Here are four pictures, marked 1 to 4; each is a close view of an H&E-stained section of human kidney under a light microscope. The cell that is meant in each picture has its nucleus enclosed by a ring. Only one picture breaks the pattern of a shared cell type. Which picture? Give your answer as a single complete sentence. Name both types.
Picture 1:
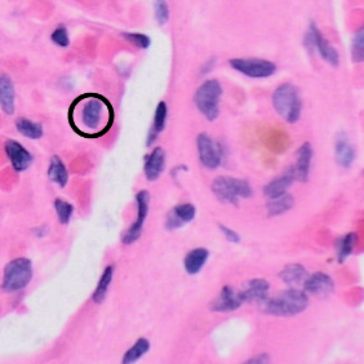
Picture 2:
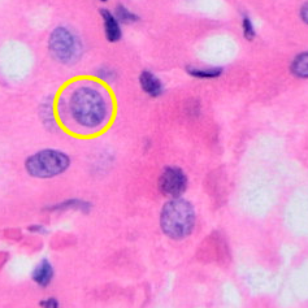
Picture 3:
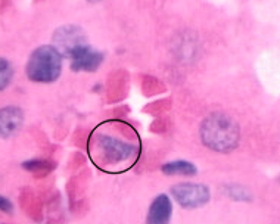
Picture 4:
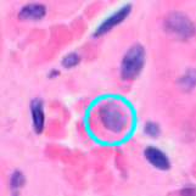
Unlike the rest, which show endothelial cells, picture 2 shows a proximal tubule cell.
